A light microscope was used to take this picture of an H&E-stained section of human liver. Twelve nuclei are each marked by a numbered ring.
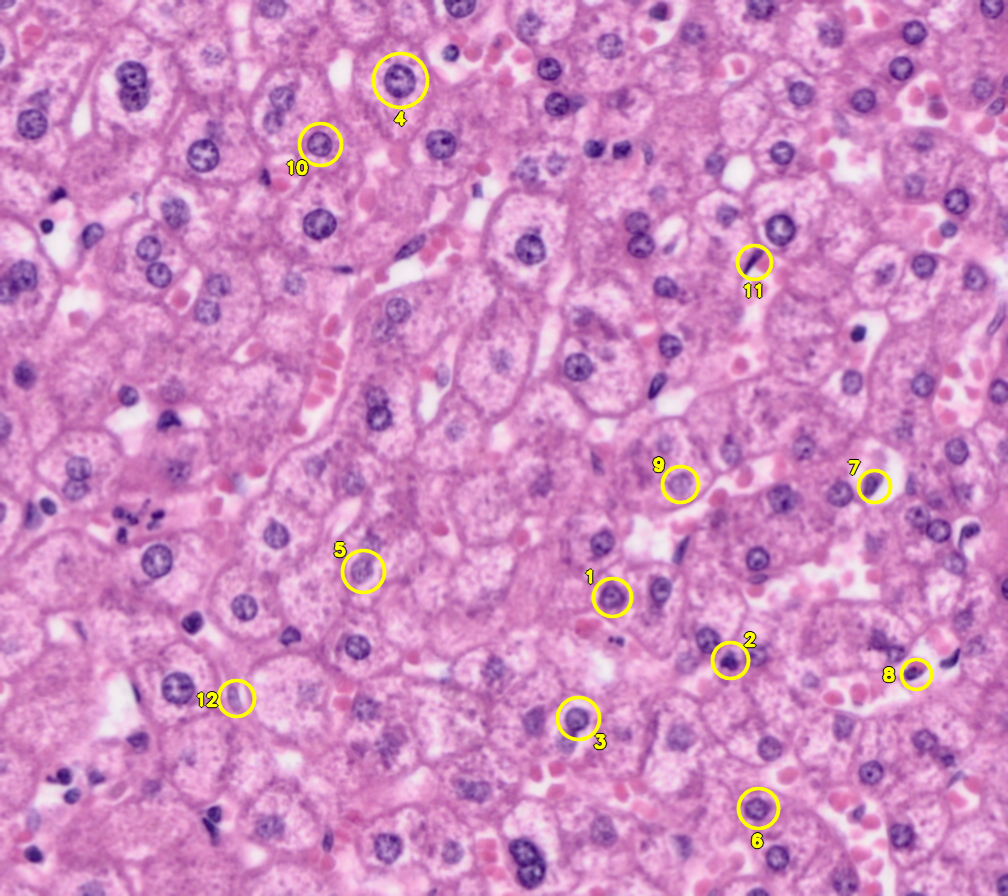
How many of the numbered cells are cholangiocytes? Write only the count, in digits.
0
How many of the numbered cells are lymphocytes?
1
